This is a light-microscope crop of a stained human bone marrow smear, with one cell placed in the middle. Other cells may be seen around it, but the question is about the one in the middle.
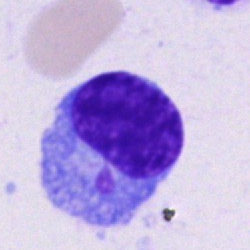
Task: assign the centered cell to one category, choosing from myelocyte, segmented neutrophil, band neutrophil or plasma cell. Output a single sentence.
Centrally within this crop lies a plasma cell.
